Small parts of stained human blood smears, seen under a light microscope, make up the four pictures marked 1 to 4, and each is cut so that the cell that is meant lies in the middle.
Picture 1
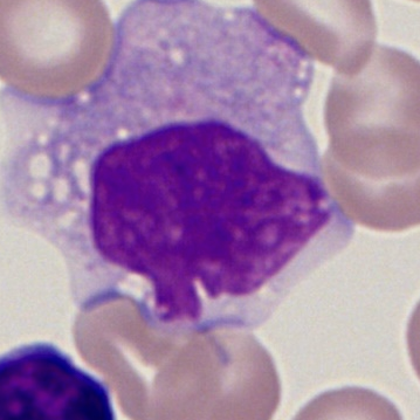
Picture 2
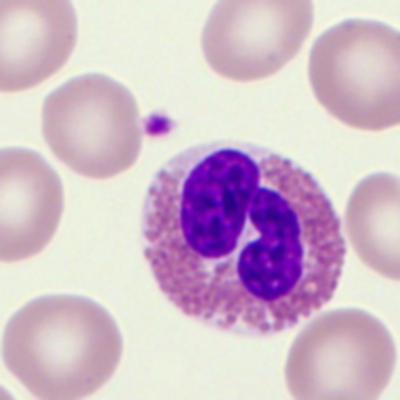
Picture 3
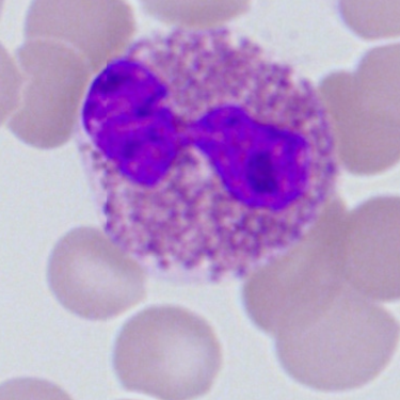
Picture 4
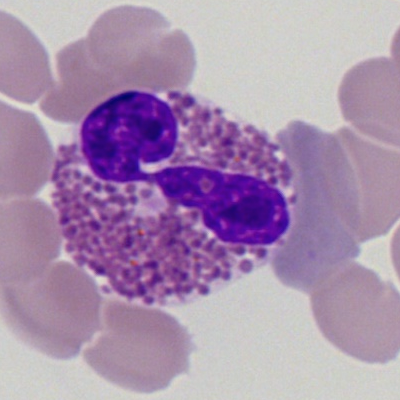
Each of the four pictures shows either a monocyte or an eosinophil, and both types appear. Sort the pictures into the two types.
1: monocyte
2: eosinophil
3: eosinophil
4: eosinophil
